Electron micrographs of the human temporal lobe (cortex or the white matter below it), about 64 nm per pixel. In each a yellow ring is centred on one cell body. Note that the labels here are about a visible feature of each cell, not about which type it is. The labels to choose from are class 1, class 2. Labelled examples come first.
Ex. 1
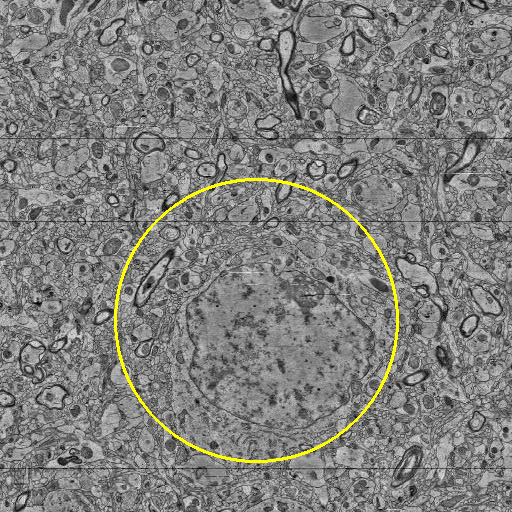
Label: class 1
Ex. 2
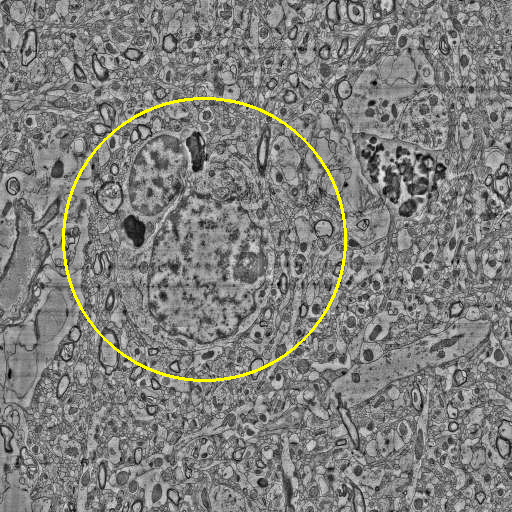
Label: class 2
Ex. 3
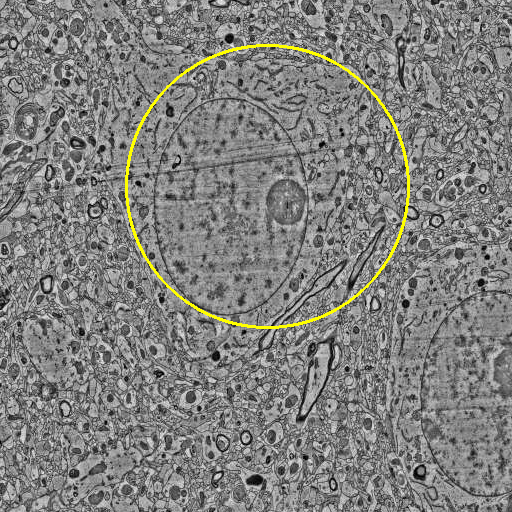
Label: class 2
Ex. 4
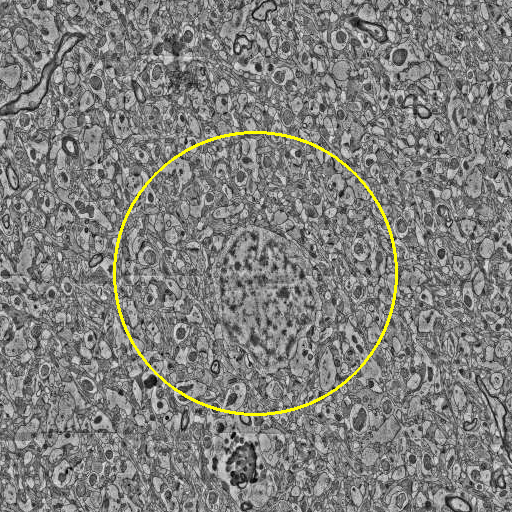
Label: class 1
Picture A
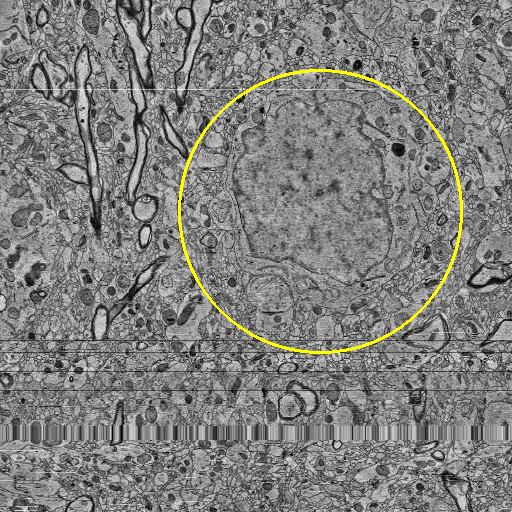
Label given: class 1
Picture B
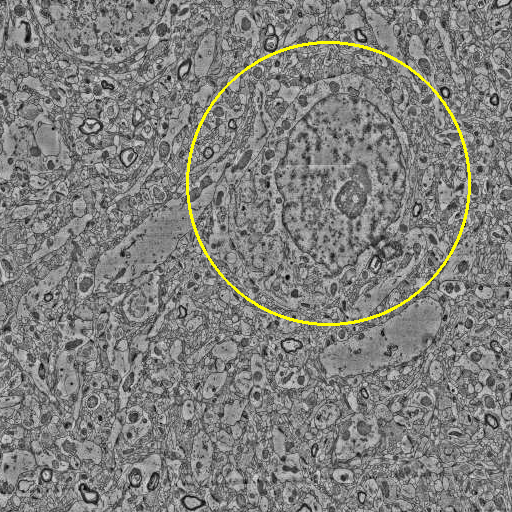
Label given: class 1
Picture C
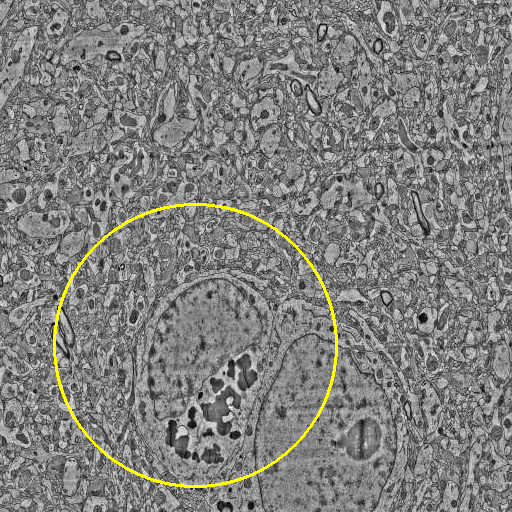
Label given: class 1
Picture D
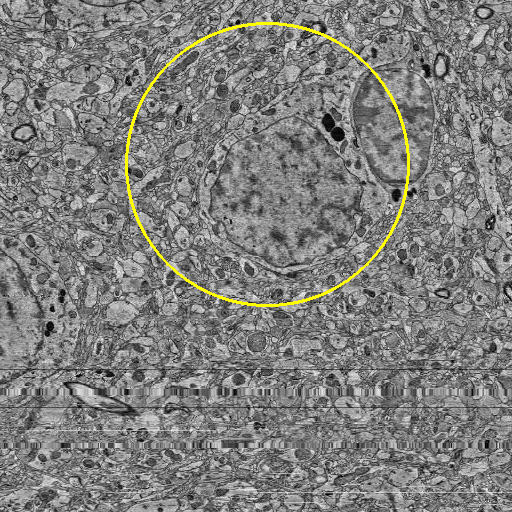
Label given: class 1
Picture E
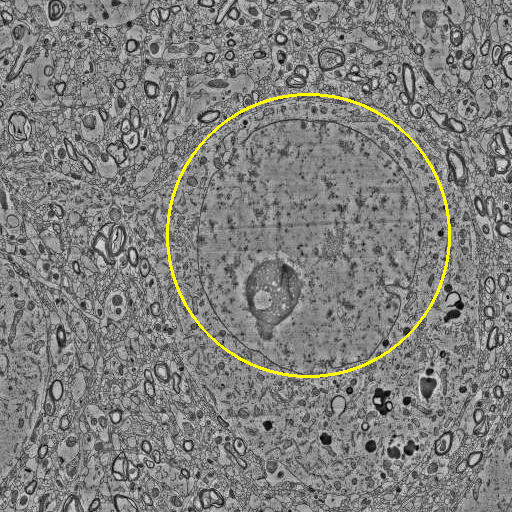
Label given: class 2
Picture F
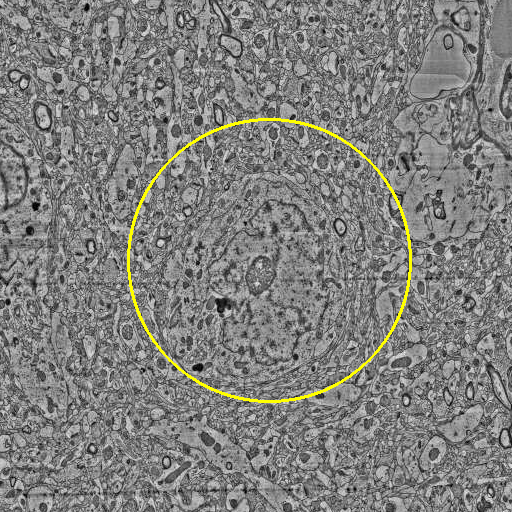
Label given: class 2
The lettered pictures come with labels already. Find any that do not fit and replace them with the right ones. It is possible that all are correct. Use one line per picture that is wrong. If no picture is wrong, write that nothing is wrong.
B should be class 2, not class 1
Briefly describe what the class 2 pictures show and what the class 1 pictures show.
class 2, nucleolus seen; class 1, no nucleolus seen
